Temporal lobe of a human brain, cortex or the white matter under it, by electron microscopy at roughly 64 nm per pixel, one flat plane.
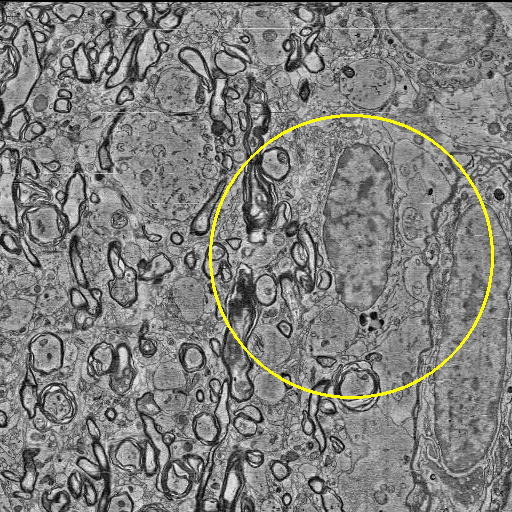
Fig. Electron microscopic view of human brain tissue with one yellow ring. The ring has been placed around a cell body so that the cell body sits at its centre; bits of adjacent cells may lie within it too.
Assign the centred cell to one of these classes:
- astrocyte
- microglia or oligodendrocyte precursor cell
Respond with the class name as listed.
microglia or oligodendrocyte precursor cell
